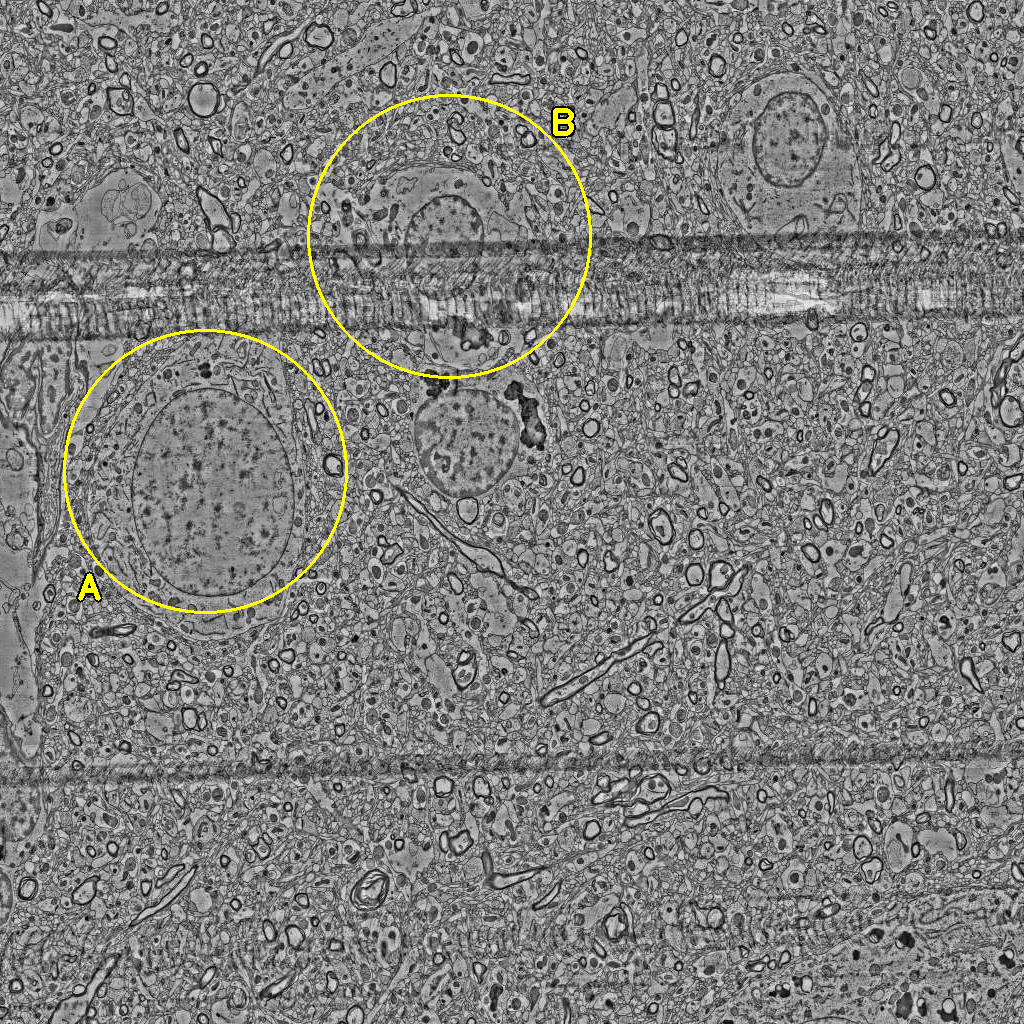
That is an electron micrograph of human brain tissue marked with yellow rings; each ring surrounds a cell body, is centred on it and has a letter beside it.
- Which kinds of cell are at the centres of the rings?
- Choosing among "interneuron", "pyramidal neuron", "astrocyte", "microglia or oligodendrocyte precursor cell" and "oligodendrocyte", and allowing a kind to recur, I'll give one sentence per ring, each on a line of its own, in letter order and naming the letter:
Ring A sits around a pyramidal neuron.
Ring B sits around an astrocyte.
